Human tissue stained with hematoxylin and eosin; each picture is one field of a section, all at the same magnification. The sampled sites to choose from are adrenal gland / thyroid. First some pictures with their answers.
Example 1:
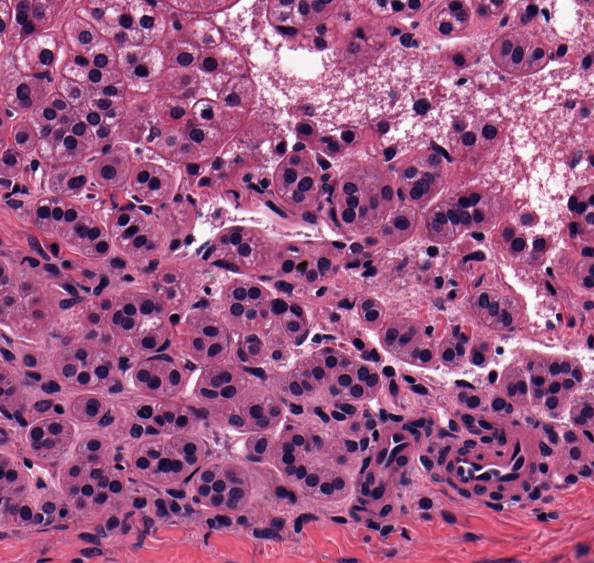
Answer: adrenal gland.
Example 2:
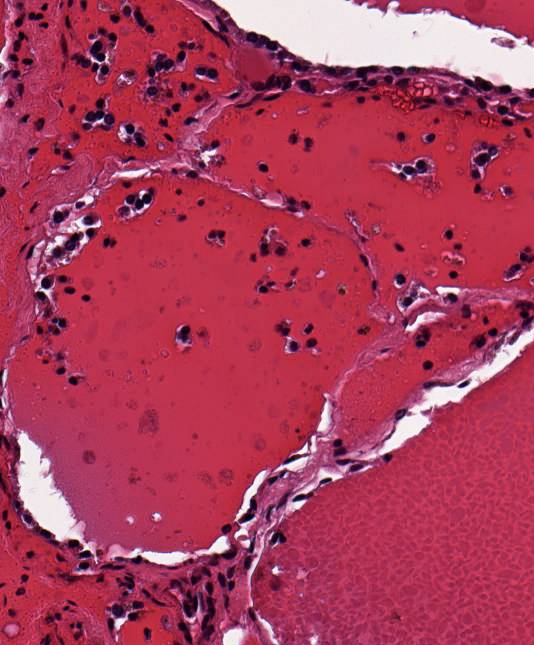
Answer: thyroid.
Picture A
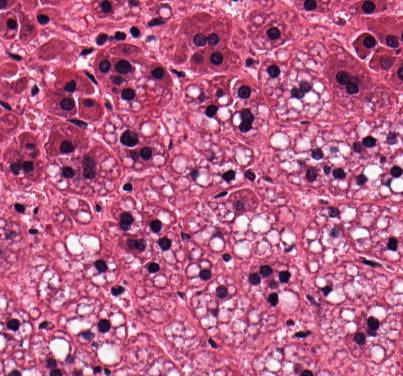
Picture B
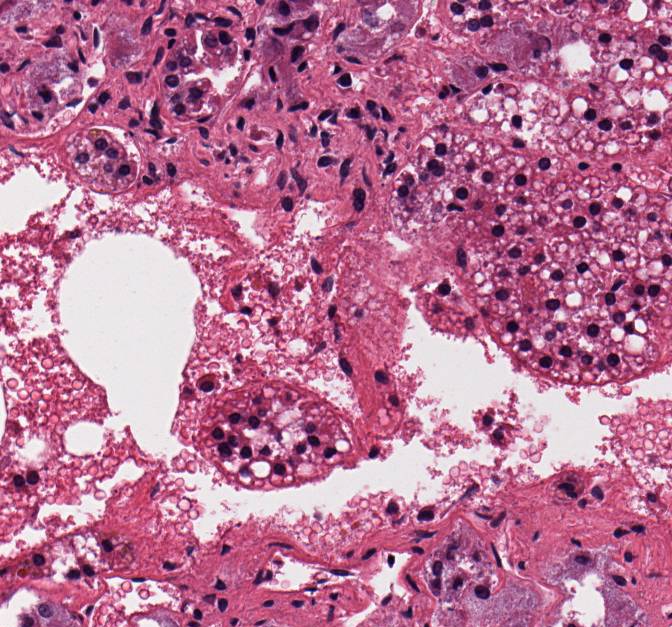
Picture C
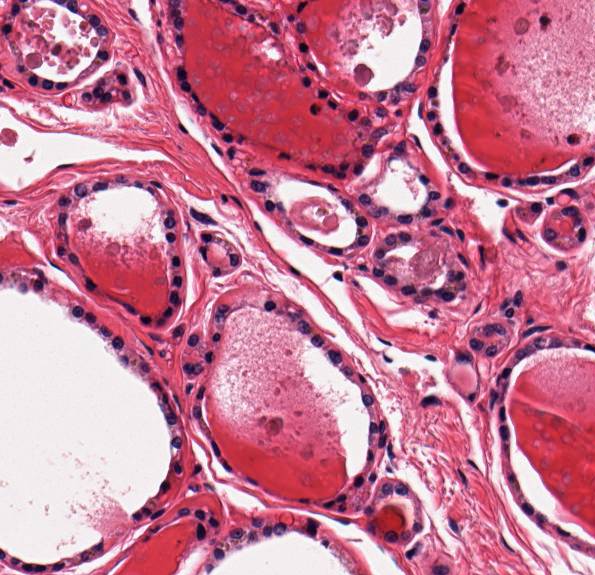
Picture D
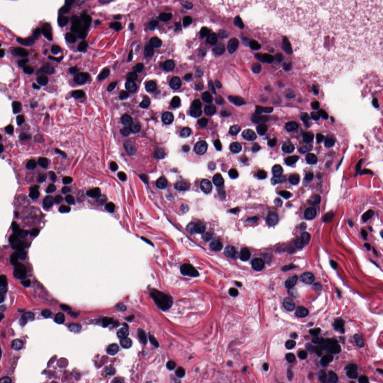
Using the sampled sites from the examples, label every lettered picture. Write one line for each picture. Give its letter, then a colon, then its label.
A: adrenal gland.
B: adrenal gland.
C: thyroid.
D: thyroid.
